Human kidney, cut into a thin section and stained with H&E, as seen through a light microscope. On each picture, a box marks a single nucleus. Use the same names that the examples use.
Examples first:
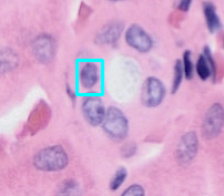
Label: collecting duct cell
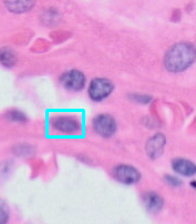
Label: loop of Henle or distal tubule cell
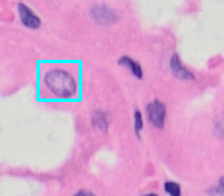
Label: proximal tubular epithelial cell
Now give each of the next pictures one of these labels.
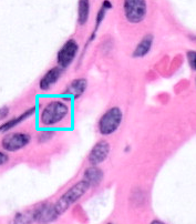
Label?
collecting duct cell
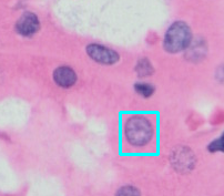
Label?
proximal tubular epithelial cell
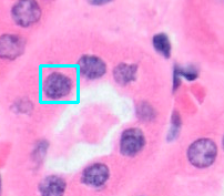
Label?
loop of Henle or distal tubule cell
